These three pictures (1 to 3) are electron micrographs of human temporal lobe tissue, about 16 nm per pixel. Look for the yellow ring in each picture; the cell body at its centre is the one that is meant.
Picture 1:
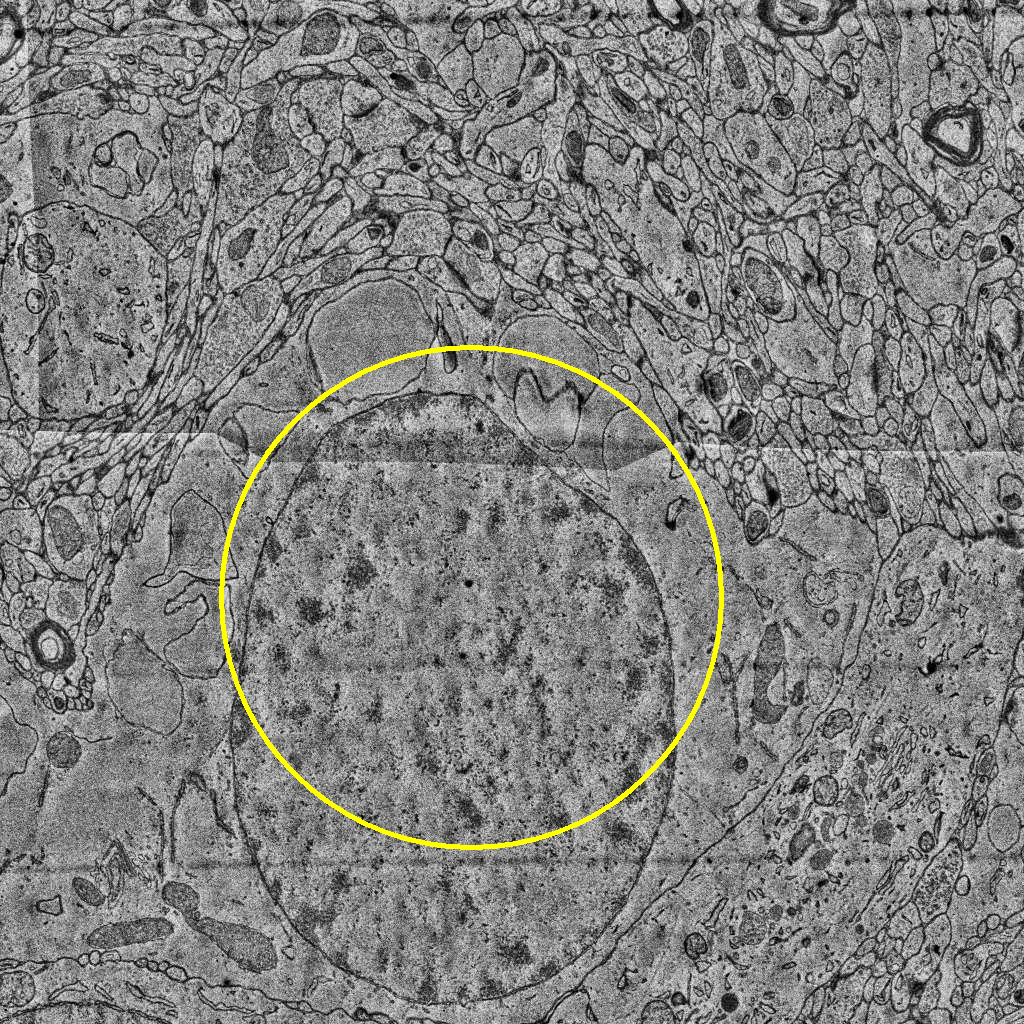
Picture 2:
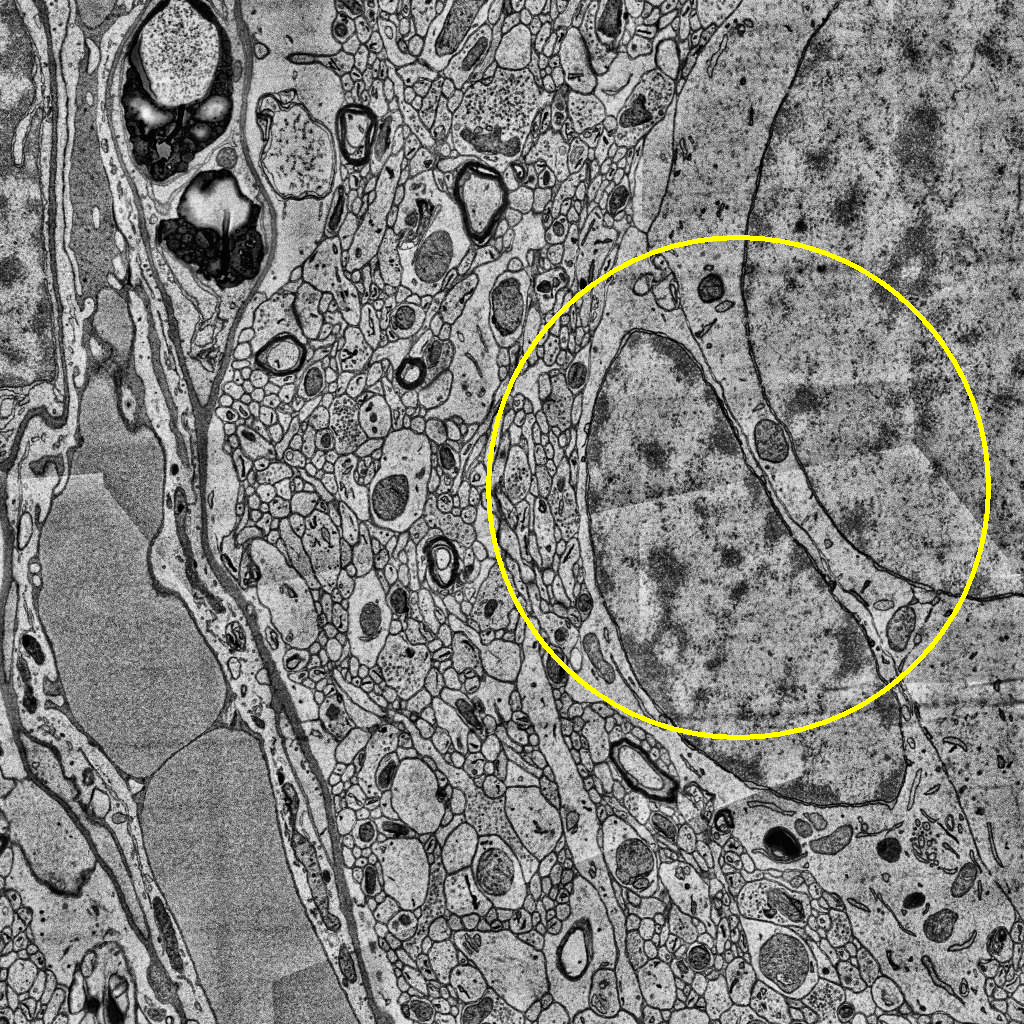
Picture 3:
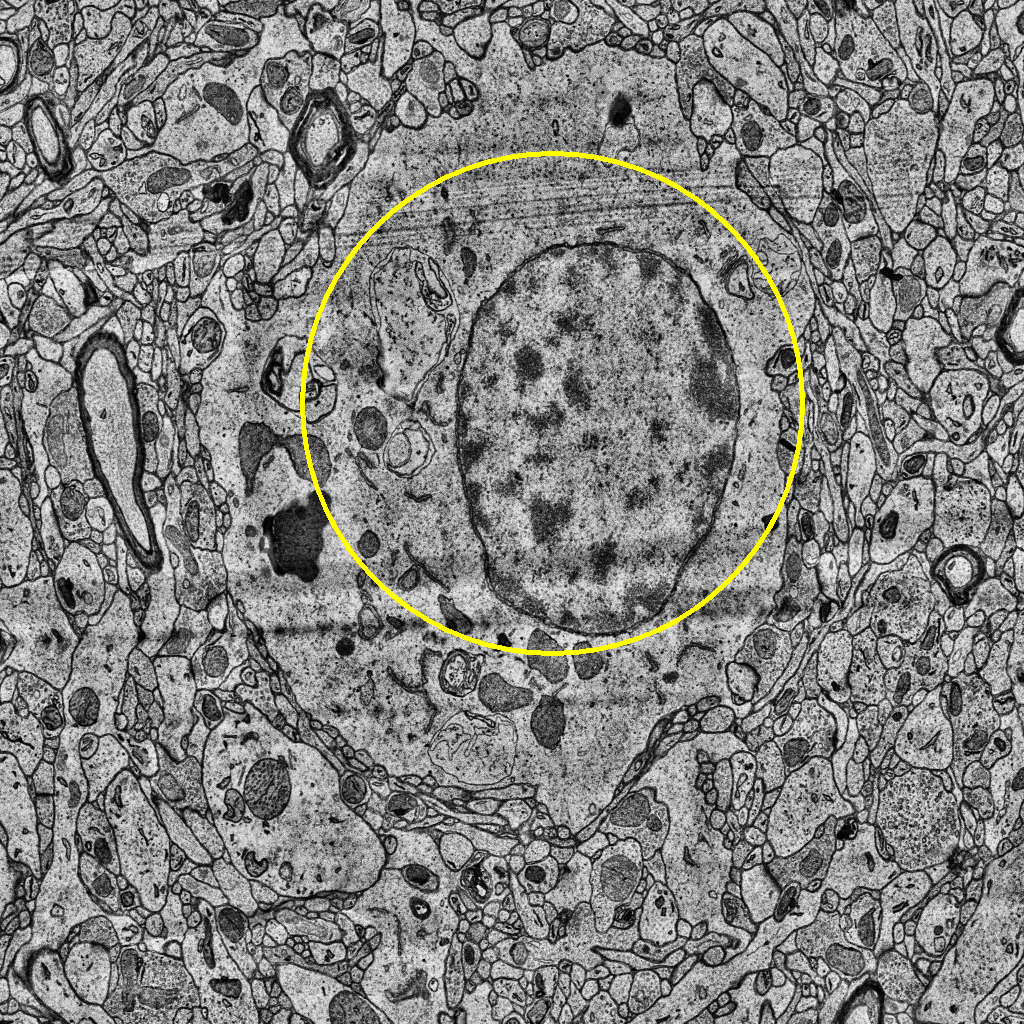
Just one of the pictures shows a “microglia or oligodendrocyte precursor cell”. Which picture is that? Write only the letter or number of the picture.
2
